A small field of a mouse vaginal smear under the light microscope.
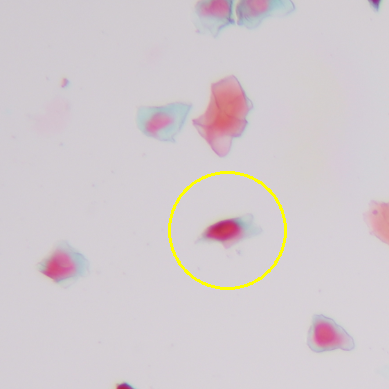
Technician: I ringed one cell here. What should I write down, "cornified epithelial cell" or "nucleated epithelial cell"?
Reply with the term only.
nucleated epithelial cell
